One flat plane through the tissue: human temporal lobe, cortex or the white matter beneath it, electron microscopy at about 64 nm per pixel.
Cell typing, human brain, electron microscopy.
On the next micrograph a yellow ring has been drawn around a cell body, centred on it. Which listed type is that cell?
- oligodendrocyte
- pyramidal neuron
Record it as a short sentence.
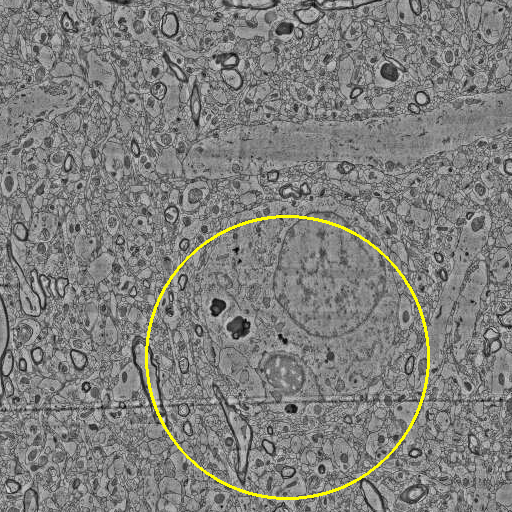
The cell body in the ring's centre belongs to an oligodendrocyte.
